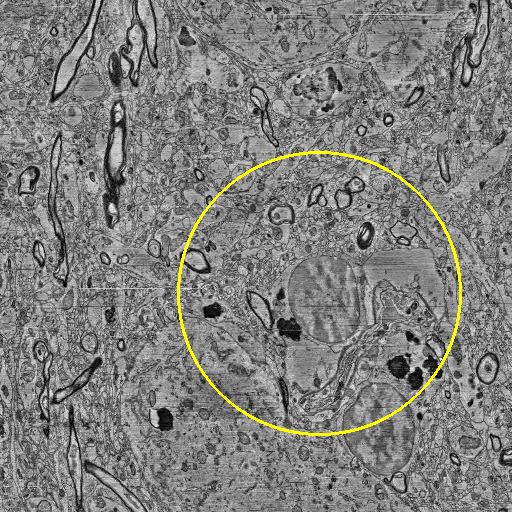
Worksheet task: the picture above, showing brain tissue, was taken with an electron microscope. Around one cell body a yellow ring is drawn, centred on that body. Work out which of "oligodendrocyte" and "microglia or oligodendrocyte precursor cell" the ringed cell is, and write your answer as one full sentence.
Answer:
It is an oligodendrocyte whose cell body lies at the centre of the yellow ring.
